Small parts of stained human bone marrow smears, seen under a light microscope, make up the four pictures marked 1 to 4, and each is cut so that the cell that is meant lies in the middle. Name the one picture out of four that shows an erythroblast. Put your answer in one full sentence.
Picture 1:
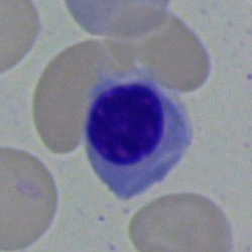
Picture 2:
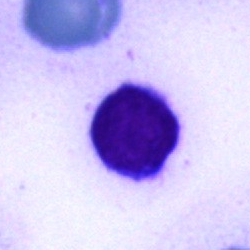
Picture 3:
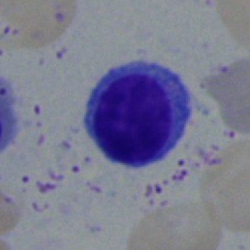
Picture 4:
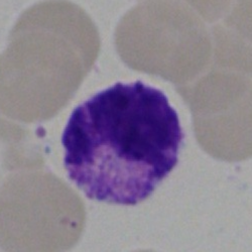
The cell in picture 1 is the erythroblast.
